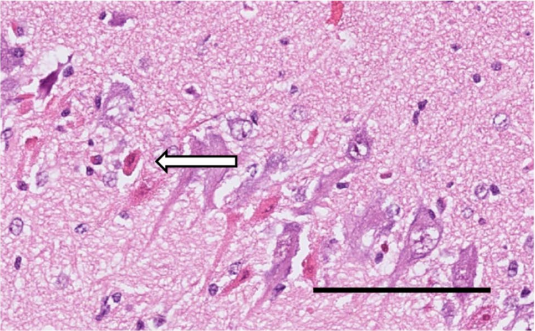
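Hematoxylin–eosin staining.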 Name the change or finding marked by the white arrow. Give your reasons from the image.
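Its cytoplasm is intensely red-pink. Neighbouring neurons are larger and paler. So: marked shrinkage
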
